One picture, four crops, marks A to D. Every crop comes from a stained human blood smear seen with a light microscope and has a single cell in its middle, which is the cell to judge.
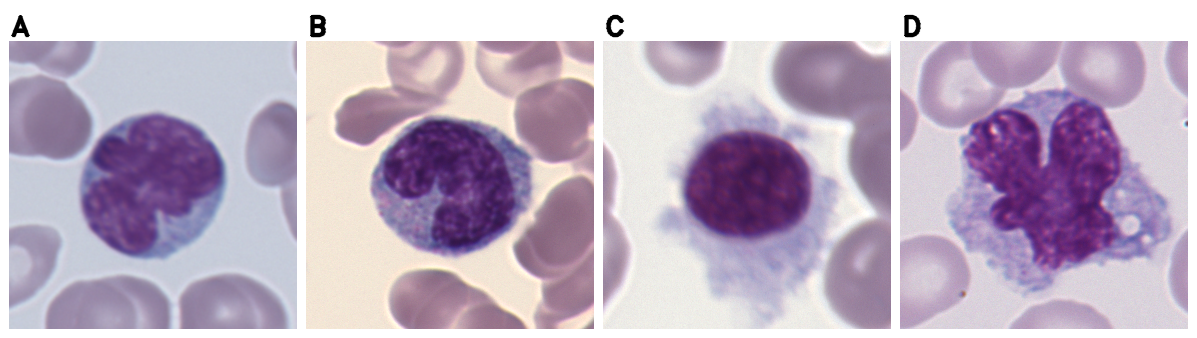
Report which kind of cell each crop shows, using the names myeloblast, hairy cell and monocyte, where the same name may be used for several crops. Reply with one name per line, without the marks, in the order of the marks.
myeloblast
monocyte
hairy cell
monocyte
